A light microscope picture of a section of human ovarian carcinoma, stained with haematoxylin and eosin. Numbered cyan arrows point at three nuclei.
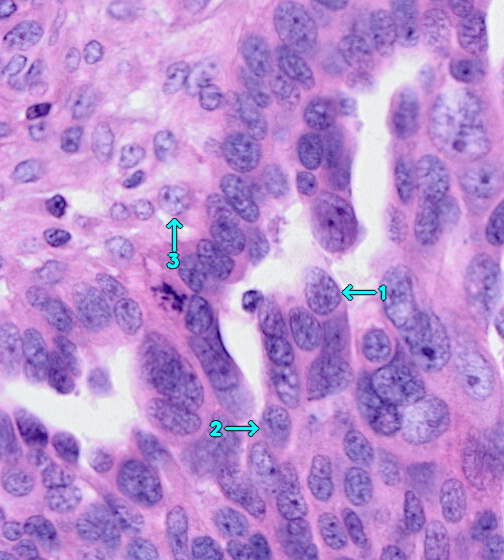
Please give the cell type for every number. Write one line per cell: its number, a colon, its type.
1: carcinoma cell
2: carcinoma cell
3: fibroblast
